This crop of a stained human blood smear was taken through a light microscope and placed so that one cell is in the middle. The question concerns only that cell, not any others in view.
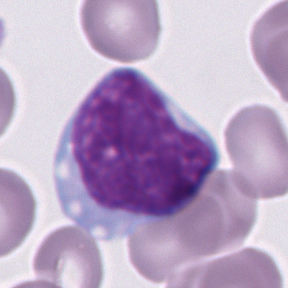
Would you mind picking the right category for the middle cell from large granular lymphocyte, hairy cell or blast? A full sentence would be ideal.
Answering briefly, the cell in the middle is a blast.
